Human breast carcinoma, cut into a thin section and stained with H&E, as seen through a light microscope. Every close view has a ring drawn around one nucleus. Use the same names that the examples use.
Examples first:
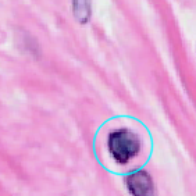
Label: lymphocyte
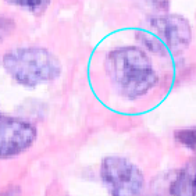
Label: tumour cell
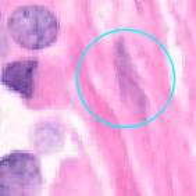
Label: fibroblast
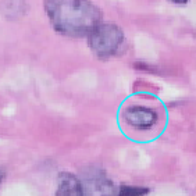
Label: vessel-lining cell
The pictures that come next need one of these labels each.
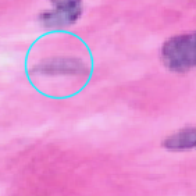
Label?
fibroblast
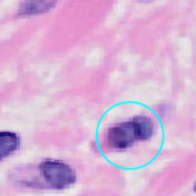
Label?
lymphocyte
